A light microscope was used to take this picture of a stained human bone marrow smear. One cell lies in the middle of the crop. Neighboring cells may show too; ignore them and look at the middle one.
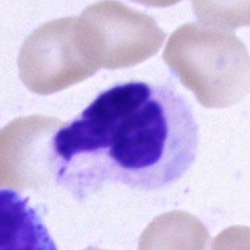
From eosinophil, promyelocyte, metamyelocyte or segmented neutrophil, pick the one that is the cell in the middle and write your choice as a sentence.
In the center of this field lies a segmented neutrophil.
